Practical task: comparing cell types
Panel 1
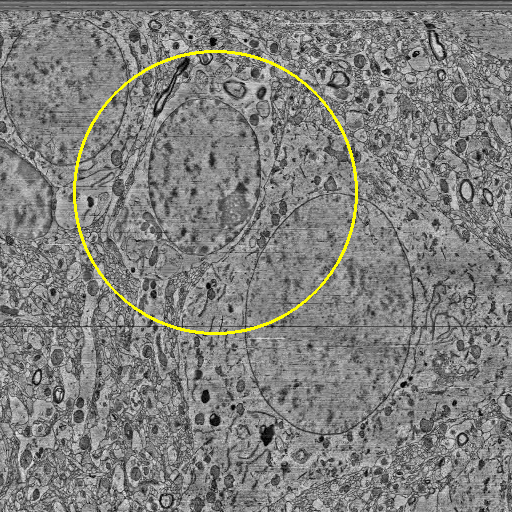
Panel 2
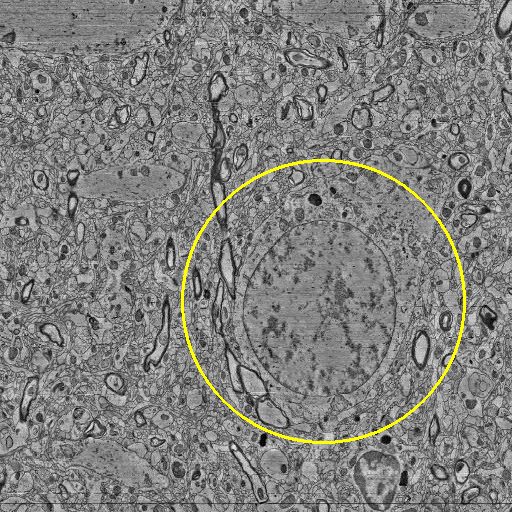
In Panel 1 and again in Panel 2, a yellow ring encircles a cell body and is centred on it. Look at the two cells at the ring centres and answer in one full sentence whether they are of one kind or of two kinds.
The two cells sitting at the ring centres of Panels 1 and 2 are of two kinds.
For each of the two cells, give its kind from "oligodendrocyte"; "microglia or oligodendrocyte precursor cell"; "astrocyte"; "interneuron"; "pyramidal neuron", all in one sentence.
The first picture has an astrocyte in its ring, the second has a pyramidal neuron.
